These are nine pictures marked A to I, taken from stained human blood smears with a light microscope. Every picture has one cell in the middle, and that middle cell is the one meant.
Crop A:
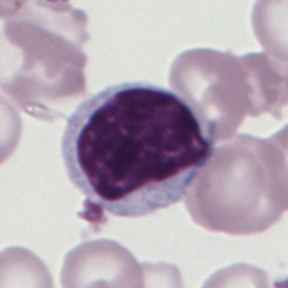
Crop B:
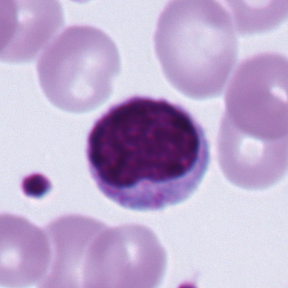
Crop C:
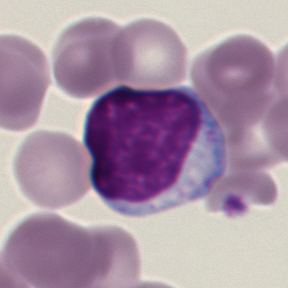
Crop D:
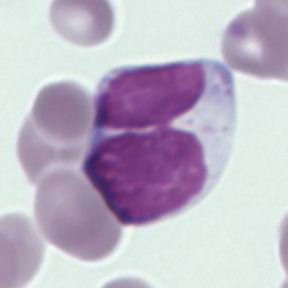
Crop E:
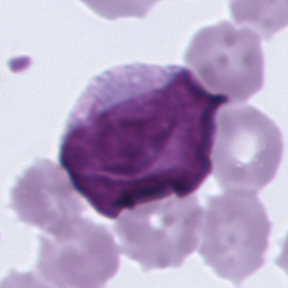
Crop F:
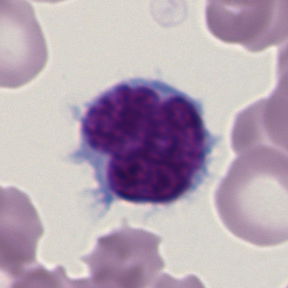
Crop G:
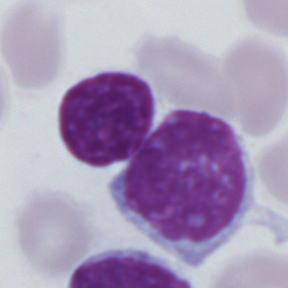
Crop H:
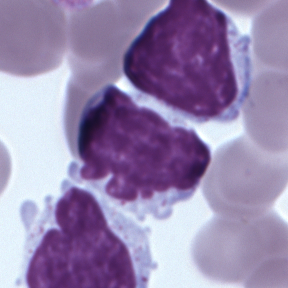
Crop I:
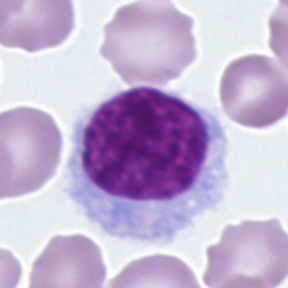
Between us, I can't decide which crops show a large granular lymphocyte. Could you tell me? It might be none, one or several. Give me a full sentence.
The crops in this set showing large granular lymphocytes are B, C, D and H.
